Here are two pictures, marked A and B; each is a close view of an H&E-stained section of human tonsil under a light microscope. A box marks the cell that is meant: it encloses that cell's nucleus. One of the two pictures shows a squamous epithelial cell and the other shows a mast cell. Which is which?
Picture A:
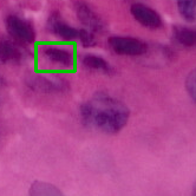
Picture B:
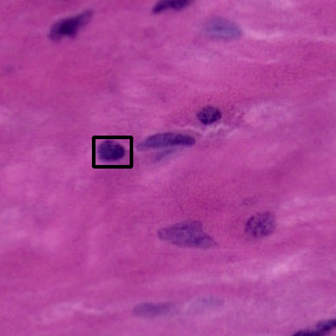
A: squamous epithelial cell
B: mast cell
